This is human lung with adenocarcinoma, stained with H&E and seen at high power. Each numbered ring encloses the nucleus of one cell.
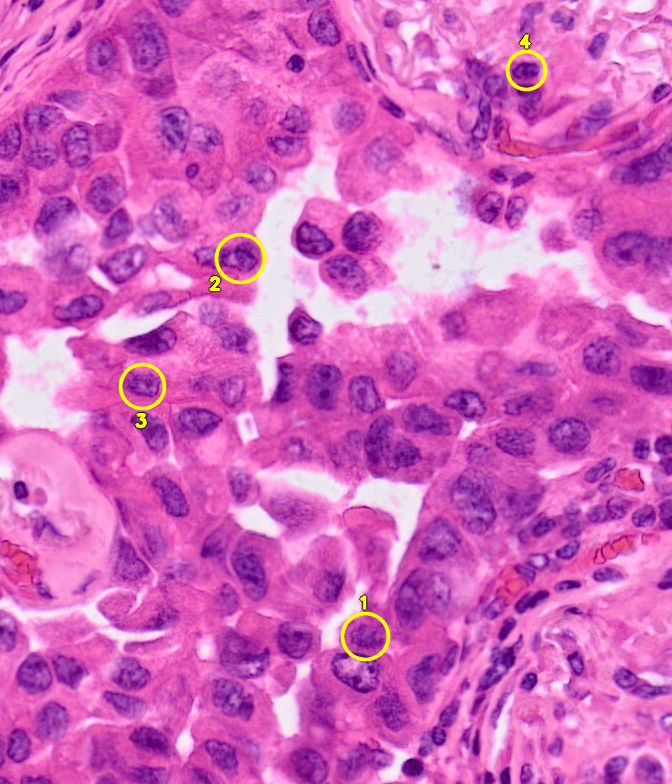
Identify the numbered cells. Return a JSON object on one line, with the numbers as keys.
{"1": "carcinoma cell", "2": "carcinoma cell", "3": "carcinoma cell", "4": "plasma cell"}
